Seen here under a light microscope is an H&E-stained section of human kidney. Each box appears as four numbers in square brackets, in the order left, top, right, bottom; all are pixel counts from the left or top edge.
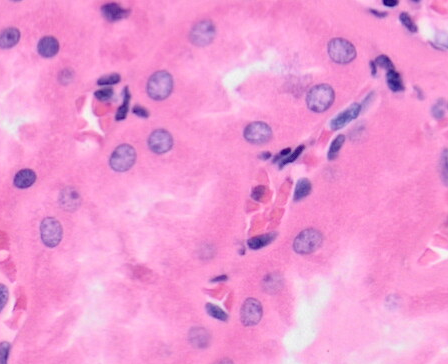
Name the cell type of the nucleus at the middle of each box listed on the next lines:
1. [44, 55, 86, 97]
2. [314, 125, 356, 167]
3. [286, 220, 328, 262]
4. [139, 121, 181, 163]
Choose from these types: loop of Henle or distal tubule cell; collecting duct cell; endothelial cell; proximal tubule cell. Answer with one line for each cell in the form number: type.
1: proximal tubule cell
2: endothelial cell
3: proximal tubule cell
4: proximal tubule cell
